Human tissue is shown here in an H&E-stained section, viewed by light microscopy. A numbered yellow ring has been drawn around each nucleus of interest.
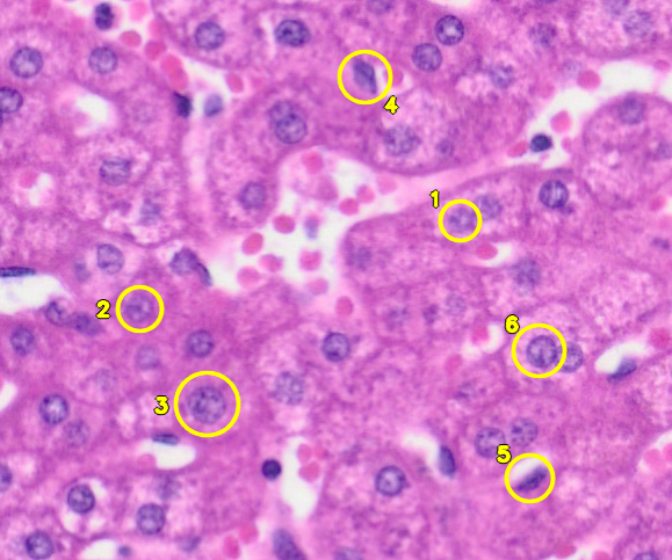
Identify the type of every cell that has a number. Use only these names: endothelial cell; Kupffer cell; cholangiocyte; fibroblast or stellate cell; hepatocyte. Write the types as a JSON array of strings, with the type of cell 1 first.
["hepatocyte", "hepatocyte", "hepatocyte", "endothelial cell", "Kupffer cell", "hepatocyte"]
